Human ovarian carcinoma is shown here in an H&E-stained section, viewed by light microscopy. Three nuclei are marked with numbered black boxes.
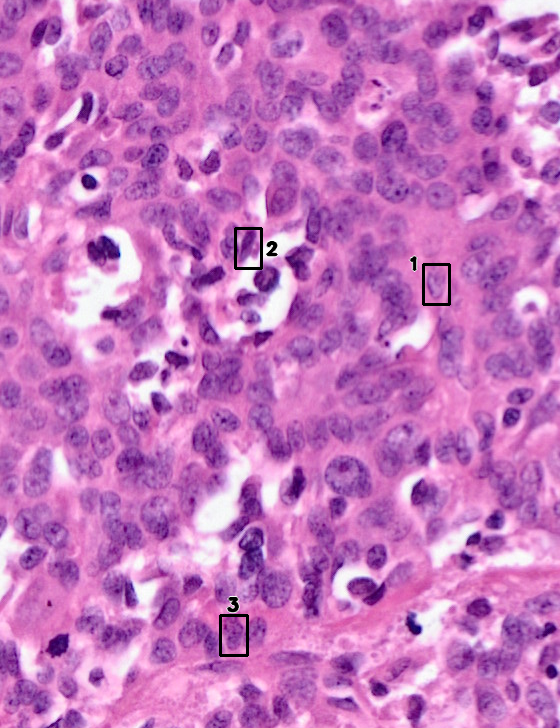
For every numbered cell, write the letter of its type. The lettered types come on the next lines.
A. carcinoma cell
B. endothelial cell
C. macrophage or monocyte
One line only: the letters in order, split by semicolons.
B; A; A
